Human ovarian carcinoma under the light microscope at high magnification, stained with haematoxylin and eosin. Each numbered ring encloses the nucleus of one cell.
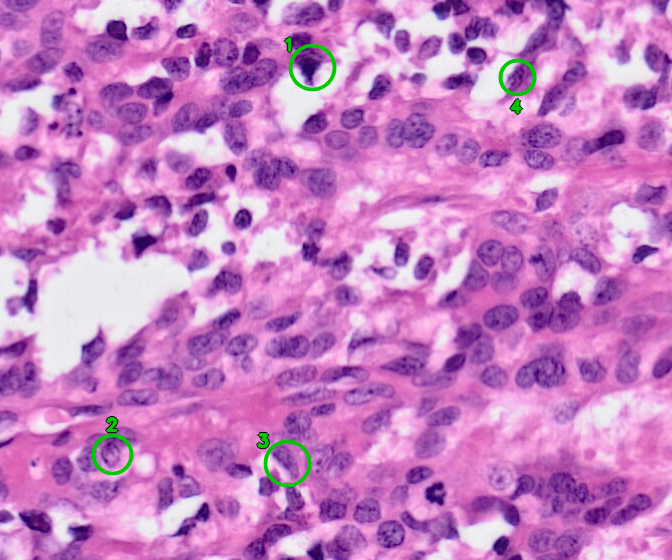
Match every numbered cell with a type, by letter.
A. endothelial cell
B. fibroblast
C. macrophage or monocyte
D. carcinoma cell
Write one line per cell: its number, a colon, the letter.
1: D
2: C
3: D
4: D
